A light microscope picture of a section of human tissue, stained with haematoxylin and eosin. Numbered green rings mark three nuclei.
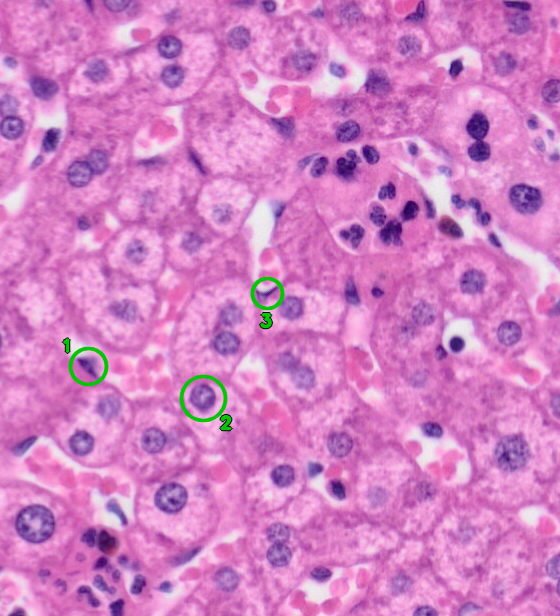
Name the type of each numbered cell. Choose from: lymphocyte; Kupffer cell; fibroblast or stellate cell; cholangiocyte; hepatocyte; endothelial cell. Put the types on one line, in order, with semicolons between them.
endothelial cell; hepatocyte; endothelial cell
